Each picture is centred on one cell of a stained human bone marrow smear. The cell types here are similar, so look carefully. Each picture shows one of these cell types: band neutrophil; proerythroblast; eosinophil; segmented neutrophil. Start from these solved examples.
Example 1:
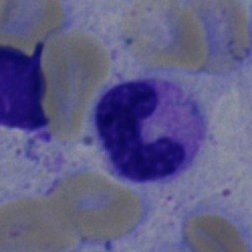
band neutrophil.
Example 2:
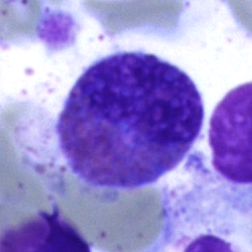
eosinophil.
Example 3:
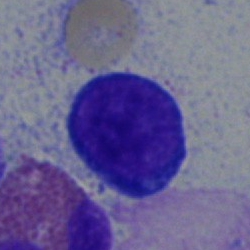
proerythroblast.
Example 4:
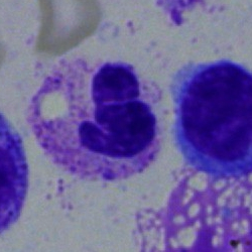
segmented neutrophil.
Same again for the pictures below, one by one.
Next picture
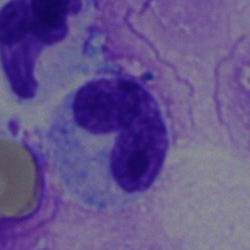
band neutrophil.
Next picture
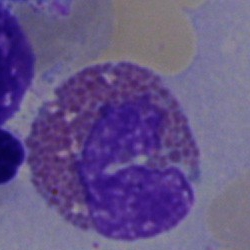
eosinophil.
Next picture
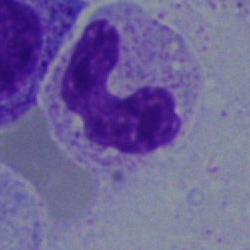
band neutrophil.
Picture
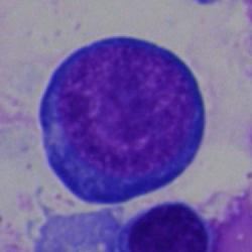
proerythroblast.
